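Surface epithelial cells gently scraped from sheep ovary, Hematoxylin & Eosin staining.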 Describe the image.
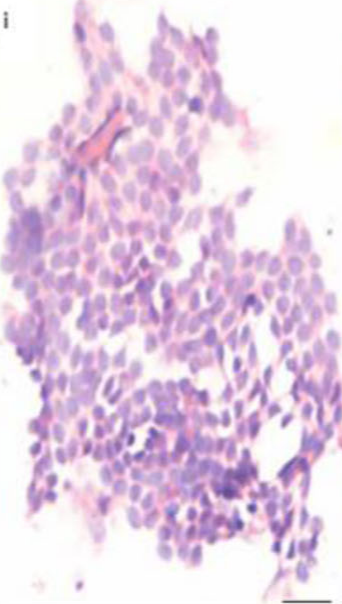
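The cells lie tightly side by side in a broad, flat, irregular sheet. Each has an oval, fairly uniform purple nucleus with a narrow pink rim of cytoplasm around it. At the edges the sheet frays into looser groups of cells.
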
